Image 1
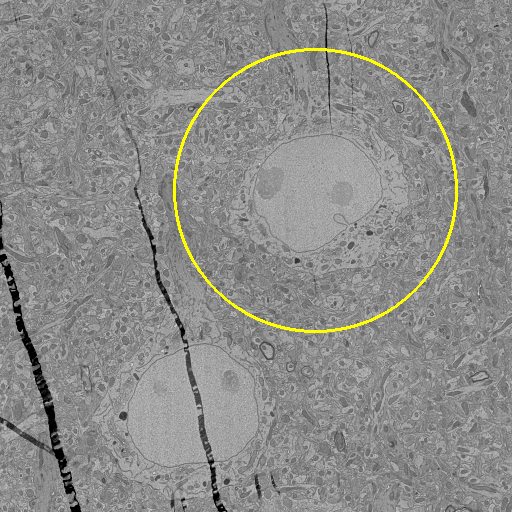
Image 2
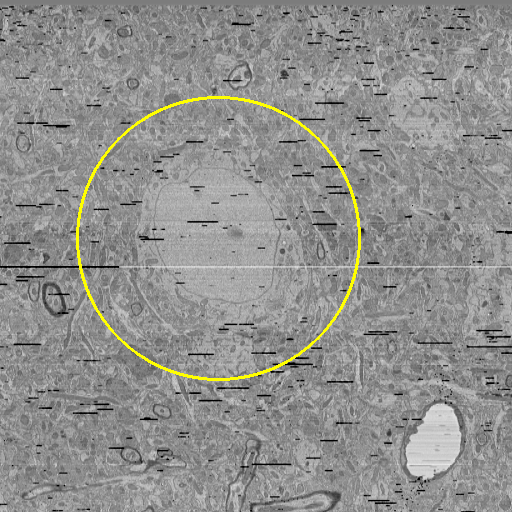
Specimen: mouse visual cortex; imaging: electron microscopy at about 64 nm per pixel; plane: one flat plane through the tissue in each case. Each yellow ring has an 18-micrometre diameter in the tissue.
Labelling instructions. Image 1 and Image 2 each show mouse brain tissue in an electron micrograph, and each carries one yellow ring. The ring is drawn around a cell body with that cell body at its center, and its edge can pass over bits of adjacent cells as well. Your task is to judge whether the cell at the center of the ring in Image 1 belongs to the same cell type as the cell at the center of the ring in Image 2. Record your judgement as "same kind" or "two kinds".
same kind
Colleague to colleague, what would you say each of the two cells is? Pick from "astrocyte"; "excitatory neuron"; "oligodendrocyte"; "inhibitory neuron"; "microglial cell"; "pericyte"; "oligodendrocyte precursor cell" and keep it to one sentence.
In the first picture and in the second, the ring is centred on an excitatory neuron.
